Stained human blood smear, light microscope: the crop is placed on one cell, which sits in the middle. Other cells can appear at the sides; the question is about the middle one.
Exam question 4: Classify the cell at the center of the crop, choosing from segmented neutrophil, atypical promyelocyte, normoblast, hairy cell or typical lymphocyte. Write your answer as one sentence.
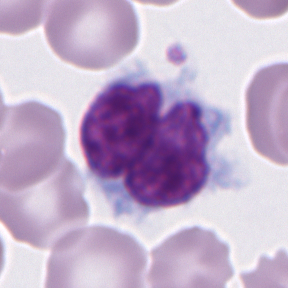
As for the central cell, it is a hairy cell.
